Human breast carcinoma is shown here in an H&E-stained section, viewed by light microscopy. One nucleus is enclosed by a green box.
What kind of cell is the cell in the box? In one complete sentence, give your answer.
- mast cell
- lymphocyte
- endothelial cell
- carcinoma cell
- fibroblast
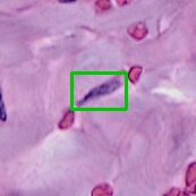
In this tissue sample, the cell in the box is a fibroblast.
